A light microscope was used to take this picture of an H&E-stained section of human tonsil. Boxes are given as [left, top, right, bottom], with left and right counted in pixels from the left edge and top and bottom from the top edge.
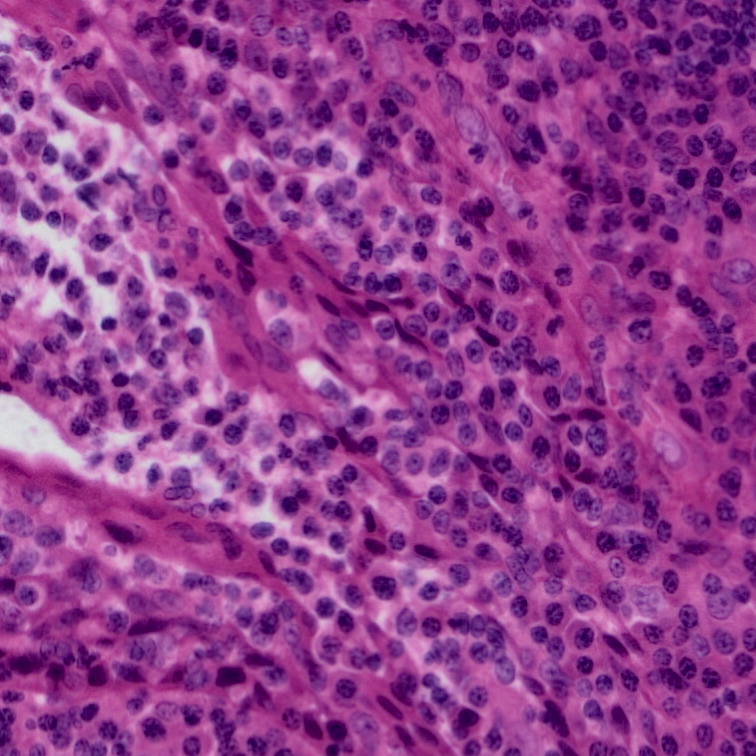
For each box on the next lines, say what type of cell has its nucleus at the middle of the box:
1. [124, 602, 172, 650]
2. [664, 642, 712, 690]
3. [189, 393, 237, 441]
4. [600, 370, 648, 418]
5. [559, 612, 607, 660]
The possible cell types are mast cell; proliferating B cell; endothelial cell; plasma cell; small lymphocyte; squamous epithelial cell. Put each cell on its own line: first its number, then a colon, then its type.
1: squamous epithelial cell
2: plasma cell
3: plasma cell
4: endothelial cell
5: plasma cell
